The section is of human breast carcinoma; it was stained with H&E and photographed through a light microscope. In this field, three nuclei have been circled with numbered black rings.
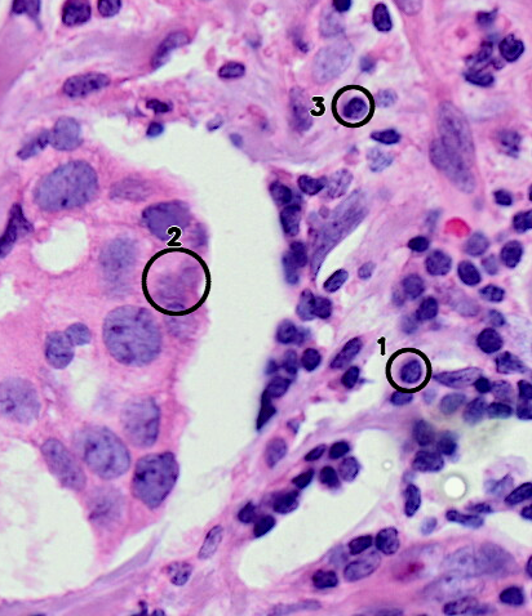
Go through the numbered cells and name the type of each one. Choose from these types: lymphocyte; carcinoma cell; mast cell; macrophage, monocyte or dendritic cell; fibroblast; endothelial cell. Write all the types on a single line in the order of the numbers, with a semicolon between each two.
lymphocyte; carcinoma cell; lymphocyte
